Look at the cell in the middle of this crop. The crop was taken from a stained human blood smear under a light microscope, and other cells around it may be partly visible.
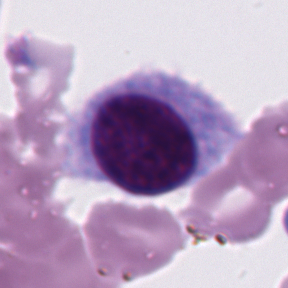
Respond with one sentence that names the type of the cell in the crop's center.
As for the central cell, it is a hairy cell.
